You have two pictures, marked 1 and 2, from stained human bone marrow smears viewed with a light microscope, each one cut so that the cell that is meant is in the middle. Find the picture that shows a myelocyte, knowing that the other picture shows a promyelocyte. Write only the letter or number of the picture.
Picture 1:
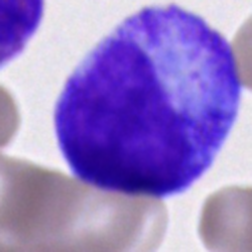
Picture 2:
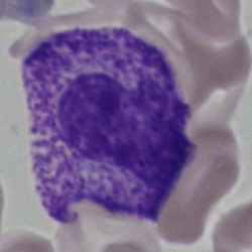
2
